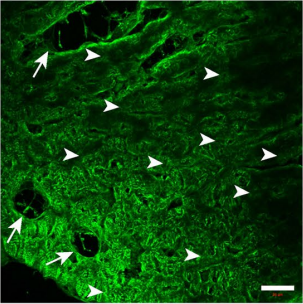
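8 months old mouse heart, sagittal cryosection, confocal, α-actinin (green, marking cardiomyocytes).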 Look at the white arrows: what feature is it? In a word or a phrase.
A: Bigger coronary vessels.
